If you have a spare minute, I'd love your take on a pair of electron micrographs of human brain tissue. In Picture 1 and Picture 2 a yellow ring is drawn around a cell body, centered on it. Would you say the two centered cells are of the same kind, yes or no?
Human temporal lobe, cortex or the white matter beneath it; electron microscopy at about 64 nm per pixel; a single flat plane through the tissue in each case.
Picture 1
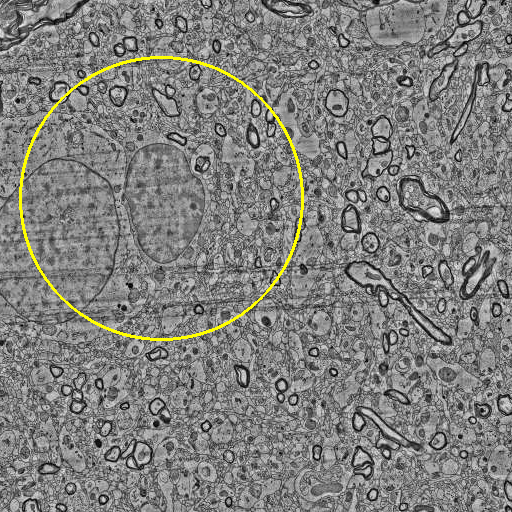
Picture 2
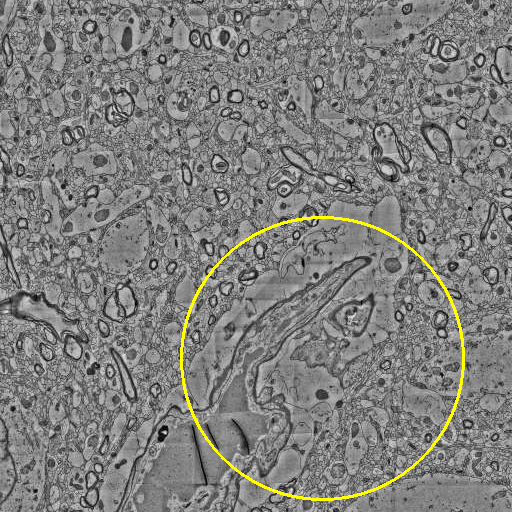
yes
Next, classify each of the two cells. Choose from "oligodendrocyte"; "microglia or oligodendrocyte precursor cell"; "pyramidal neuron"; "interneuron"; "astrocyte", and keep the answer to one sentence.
In each of the two pictures, the ringed cell is an oligodendrocyte.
